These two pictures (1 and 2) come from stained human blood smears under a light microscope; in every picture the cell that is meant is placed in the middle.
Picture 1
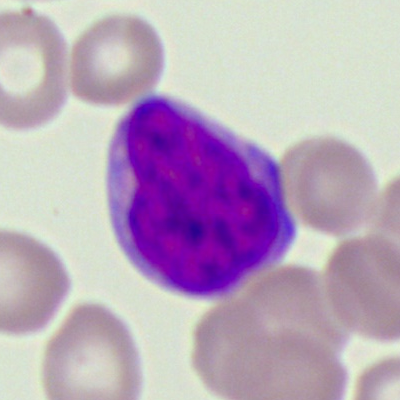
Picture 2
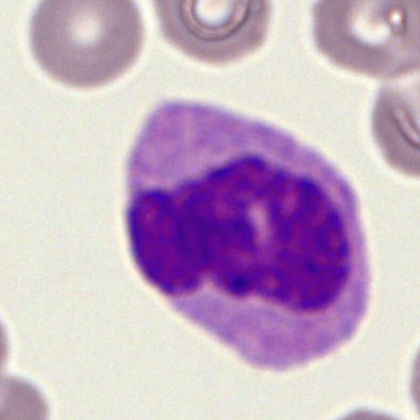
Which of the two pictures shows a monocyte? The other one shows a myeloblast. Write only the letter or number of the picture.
2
